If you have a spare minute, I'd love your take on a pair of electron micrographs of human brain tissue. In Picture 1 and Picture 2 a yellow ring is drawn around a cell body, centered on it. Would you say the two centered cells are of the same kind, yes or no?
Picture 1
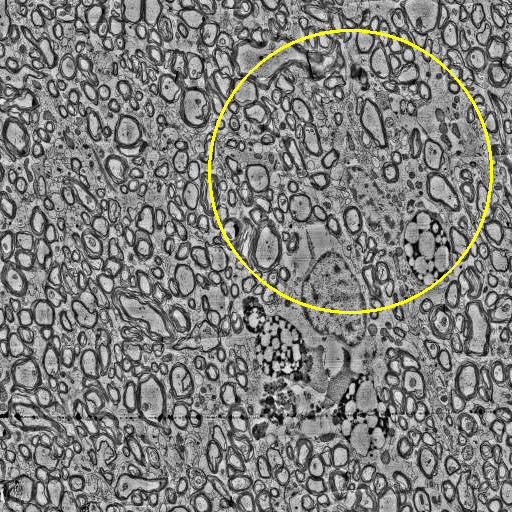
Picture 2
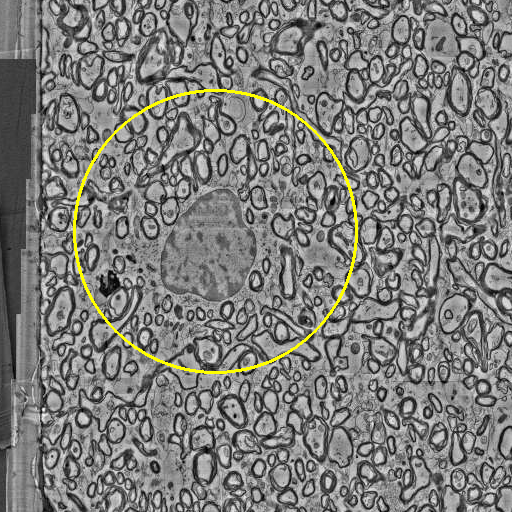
no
